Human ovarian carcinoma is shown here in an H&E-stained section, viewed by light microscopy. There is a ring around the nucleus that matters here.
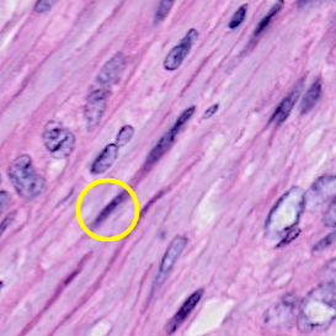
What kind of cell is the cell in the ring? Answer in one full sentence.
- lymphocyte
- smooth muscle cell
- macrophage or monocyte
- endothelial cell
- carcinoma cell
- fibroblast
Histopathologically, the cell in the ring is a fibroblast.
